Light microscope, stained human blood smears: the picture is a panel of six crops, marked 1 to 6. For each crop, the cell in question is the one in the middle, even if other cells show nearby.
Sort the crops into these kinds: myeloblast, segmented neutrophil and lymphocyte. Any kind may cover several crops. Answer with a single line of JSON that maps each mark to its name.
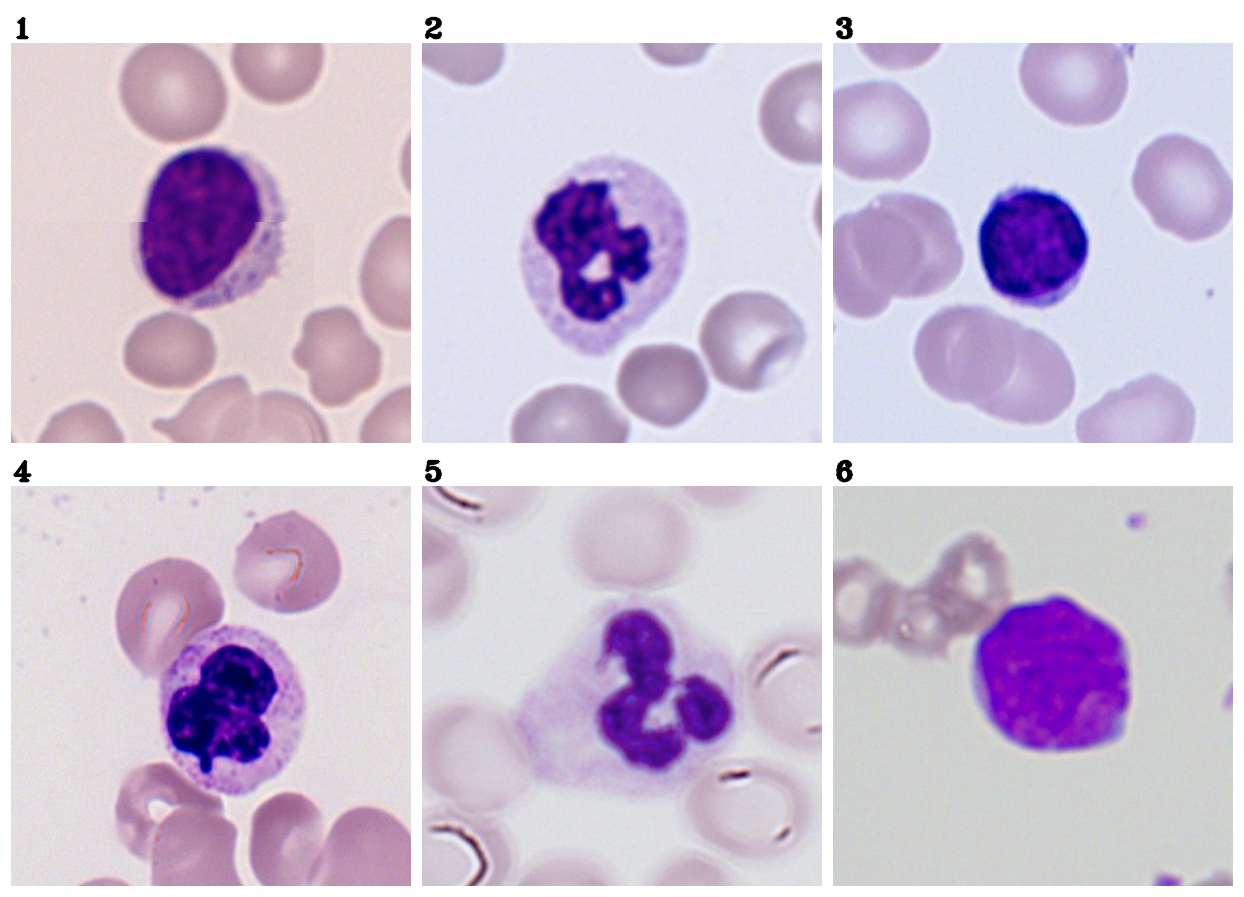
{"1": "lymphocyte", "2": "segmented neutrophil", "3": "lymphocyte", "4": "segmented neutrophil", "5": "segmented neutrophil", "6": "myeloblast"}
